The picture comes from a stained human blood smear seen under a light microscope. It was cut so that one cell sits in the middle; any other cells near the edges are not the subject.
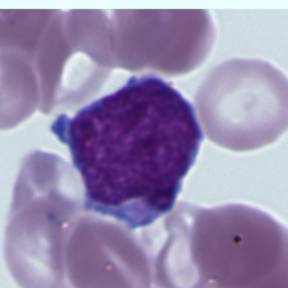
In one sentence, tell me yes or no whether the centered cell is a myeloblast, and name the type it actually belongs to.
Yes, the central cell is to be recorded as a myeloblast.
